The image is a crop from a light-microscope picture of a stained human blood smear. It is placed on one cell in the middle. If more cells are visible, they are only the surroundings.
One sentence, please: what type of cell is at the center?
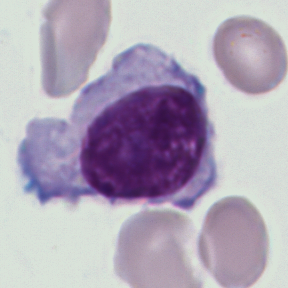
The centrally located cell in the crop is a plasma cell.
